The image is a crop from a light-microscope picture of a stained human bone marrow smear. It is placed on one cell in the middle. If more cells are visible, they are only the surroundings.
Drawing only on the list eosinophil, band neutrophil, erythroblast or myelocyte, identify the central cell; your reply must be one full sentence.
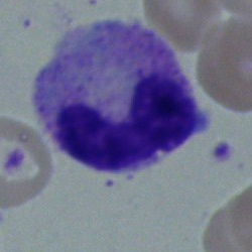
In the central position of this crop, the cell is a band neutrophil.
